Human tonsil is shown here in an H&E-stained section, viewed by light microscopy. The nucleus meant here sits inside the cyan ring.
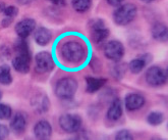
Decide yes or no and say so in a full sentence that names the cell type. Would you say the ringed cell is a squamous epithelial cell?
No, instead of a squamous epithelial cell, the ringed cell is a plasma cell.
